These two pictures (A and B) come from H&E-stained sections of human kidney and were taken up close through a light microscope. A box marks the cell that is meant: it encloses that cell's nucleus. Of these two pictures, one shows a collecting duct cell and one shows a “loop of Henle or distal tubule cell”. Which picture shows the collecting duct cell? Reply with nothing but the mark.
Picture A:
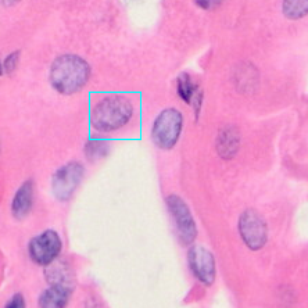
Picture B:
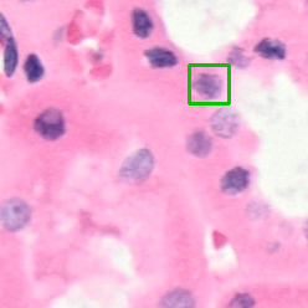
A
